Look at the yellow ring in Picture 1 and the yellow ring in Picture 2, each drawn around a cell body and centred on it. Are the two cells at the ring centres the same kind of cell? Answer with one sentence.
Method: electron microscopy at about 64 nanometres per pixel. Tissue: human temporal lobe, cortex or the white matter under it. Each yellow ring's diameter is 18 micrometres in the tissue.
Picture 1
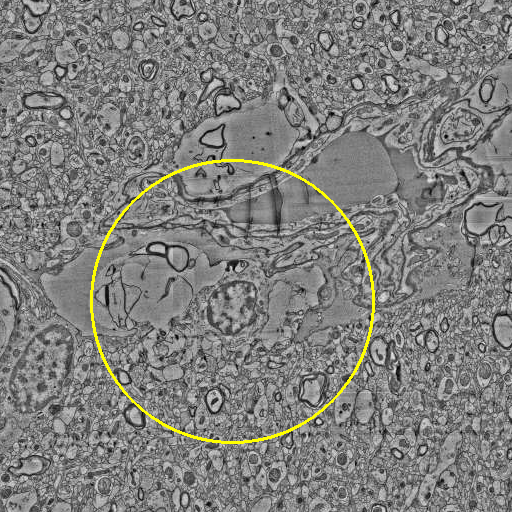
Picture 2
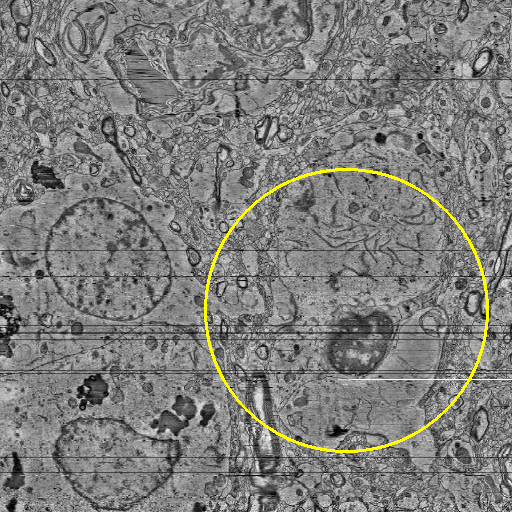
Yes, both are the same kind of cell.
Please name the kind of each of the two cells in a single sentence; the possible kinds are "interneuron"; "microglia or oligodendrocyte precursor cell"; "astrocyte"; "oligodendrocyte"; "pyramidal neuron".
Each cell at the centre of a ring is a microglial cell or oligodendrocyte precursor cell.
